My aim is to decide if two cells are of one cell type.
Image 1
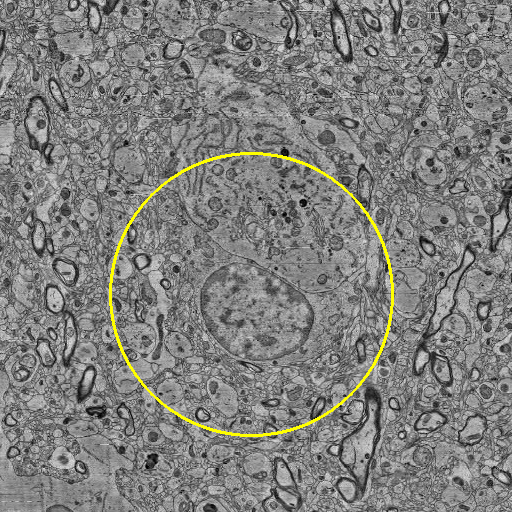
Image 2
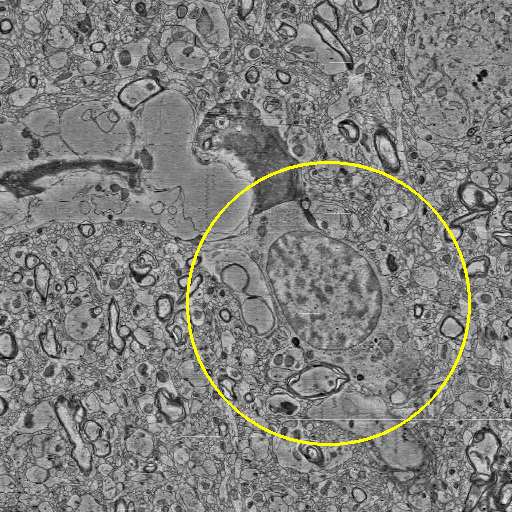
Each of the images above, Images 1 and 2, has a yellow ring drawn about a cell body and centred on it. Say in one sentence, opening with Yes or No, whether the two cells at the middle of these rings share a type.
Yes, in Images 1 and 2 the cells at the middle of the rings share one type.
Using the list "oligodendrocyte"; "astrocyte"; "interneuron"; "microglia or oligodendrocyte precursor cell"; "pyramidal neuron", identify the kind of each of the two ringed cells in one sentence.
The cell in the first picture is an oligodendrocyte, and so is the one in the second.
